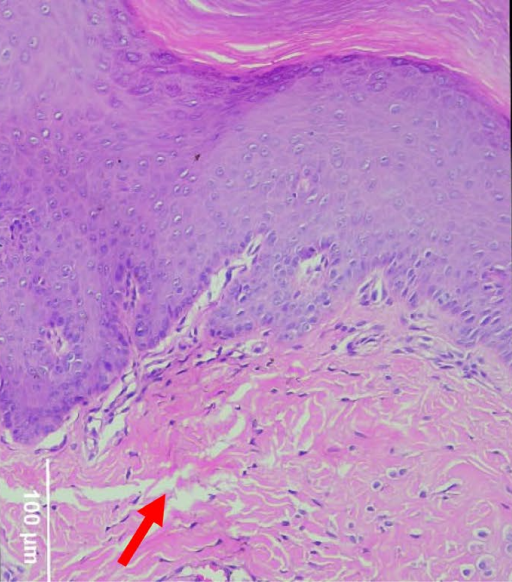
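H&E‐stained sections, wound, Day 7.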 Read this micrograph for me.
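A stratified squamous epidermis with a thick pink keratin layer on top lies over a pink fibrous dermis. The epidermis is thick, with many rows of keratinocytes with round nuclei and pale cytoplasm, and a darker purple basal layer that forms irregular downward ridges. In the dermis below, pink collagen fibres run in loose bundles. Many elongated, spindle-shaped nuclei lie among them, together with a few small vessels near the junction with the epidermis. This fits skin in an early phase of healing, with the epithelium regenerating and fibroblasts moving into the dermis.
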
